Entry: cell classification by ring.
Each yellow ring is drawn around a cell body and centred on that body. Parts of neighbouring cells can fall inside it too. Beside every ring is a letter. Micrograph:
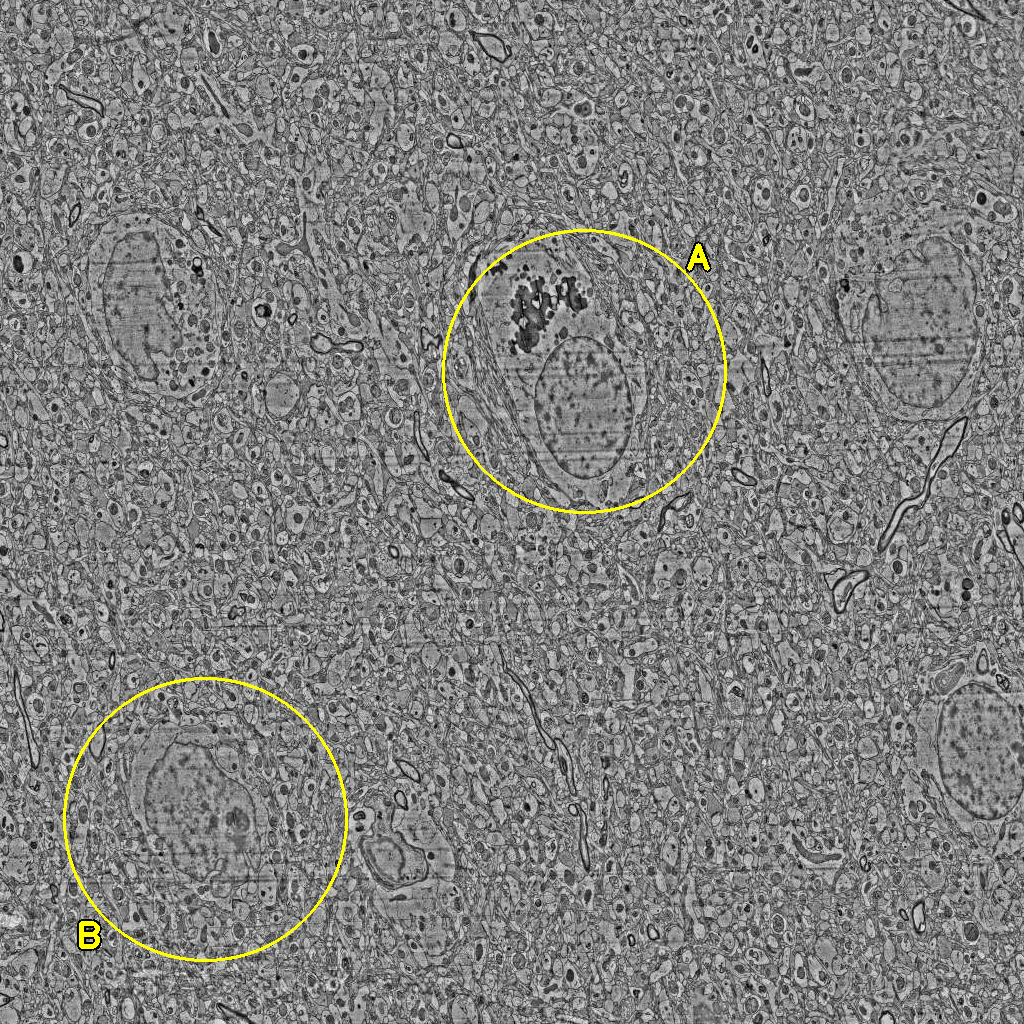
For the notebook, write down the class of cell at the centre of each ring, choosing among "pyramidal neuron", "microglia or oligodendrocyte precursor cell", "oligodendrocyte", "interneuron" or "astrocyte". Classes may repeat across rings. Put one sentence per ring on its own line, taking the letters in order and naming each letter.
Ring A marks an astrocyte.
Ring B marks an interneuron.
